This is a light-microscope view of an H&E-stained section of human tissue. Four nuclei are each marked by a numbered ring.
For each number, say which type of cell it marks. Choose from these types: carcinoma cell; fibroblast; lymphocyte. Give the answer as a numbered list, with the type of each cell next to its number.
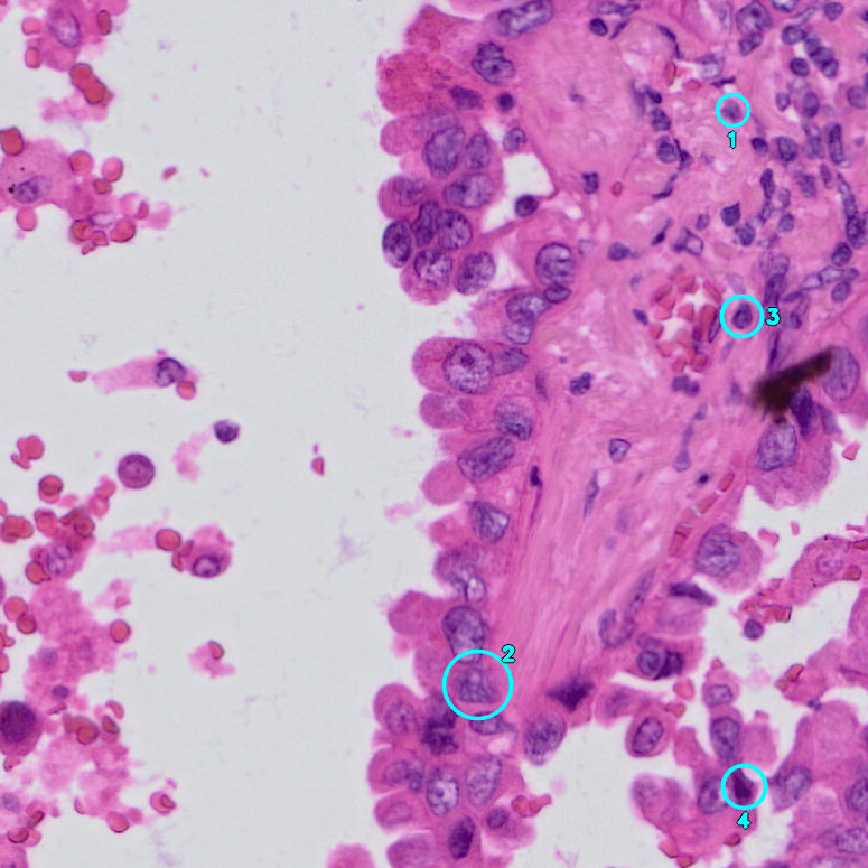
1. lymphocyte
2. carcinoma cell
3. lymphocyte
4. carcinoma cell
